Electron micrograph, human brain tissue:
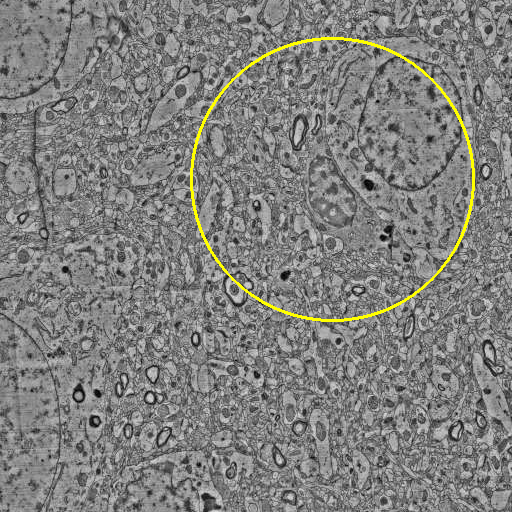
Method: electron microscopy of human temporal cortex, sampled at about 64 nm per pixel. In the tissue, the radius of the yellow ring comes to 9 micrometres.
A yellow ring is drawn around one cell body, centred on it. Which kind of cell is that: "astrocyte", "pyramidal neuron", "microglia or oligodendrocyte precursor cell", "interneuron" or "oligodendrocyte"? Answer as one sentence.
It is an oligodendrocyte at the centre of the ring.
